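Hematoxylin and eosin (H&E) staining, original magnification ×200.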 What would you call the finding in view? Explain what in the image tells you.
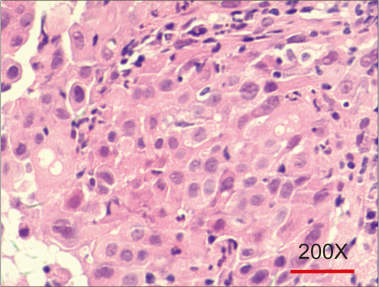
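Eosinophilic cytoplasm. The large cells have broad pink-staining cytoplasm.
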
